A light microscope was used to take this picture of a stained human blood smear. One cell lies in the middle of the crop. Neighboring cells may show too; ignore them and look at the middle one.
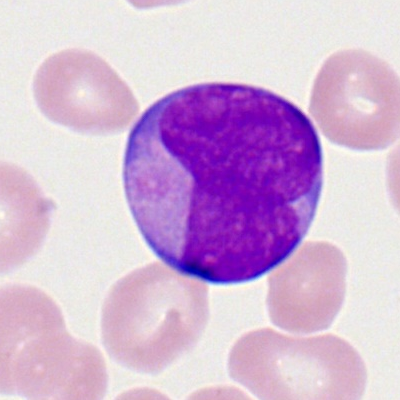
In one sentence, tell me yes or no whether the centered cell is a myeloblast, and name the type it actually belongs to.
Yes, the cell in the middle of the view is a myeloblast.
